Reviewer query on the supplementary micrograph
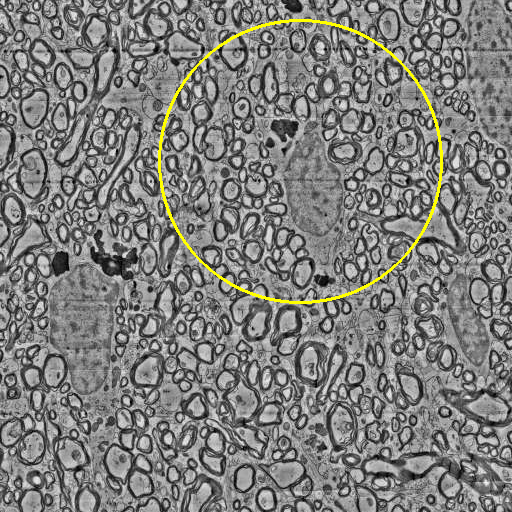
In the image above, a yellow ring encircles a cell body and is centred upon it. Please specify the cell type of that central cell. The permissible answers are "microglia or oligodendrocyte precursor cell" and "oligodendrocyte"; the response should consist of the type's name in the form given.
oligodendrocyte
